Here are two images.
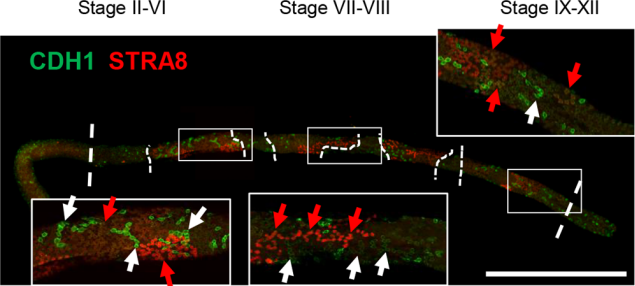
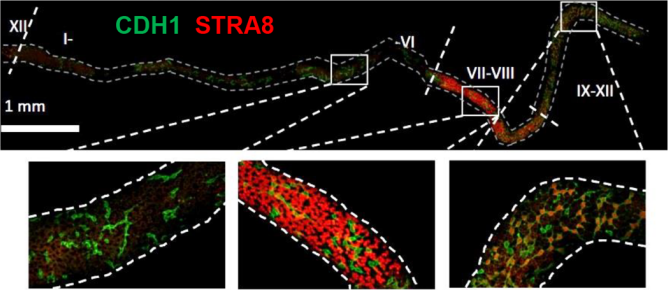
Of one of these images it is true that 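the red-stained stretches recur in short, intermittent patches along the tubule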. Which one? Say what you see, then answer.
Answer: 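First image: short red patches alternate with mostly green stretches along the tubule. Second image: red staining forms one broad continuous stretch, with long stretches of other patterns on either side. So: the first image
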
